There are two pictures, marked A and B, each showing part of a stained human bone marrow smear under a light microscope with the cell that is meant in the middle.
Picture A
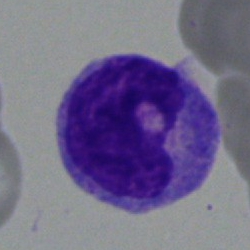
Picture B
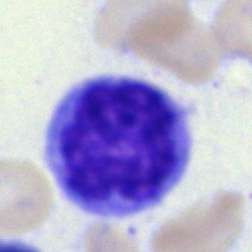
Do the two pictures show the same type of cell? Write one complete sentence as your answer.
Yes, the two pictures both show monocytes.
